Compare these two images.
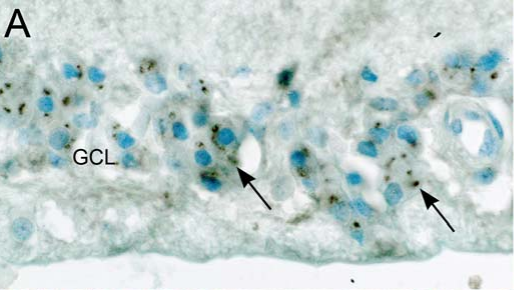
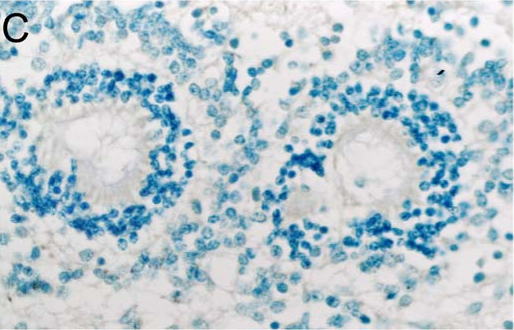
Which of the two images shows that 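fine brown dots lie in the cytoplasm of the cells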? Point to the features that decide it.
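Second image: only blue-stained nuclei and pale tissue, with no brown dots. First image: many small dark brown dots around the nuclei of the large cells.
The first image.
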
